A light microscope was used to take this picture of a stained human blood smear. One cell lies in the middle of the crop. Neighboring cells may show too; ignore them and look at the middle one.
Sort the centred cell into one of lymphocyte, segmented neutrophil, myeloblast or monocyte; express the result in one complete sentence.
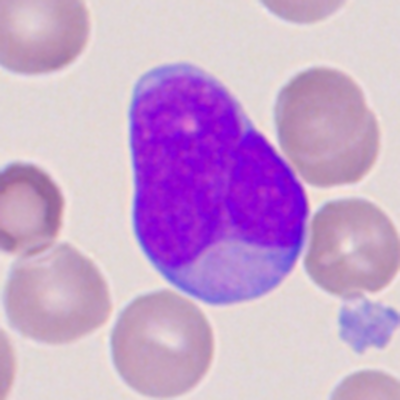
This crop is built around a myeloblast at its centre.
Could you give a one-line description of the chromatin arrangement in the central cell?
There is no coarse clumping; the chromatin stays fine throughout.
